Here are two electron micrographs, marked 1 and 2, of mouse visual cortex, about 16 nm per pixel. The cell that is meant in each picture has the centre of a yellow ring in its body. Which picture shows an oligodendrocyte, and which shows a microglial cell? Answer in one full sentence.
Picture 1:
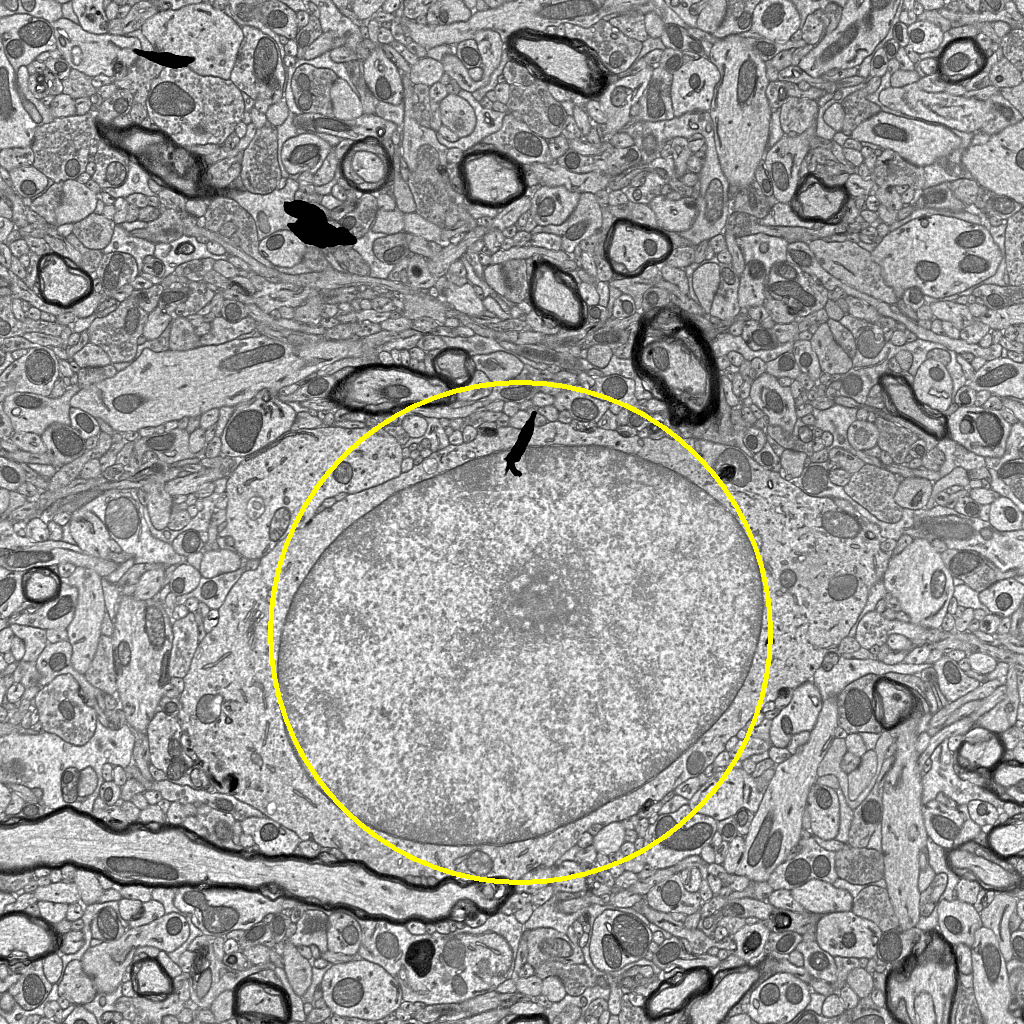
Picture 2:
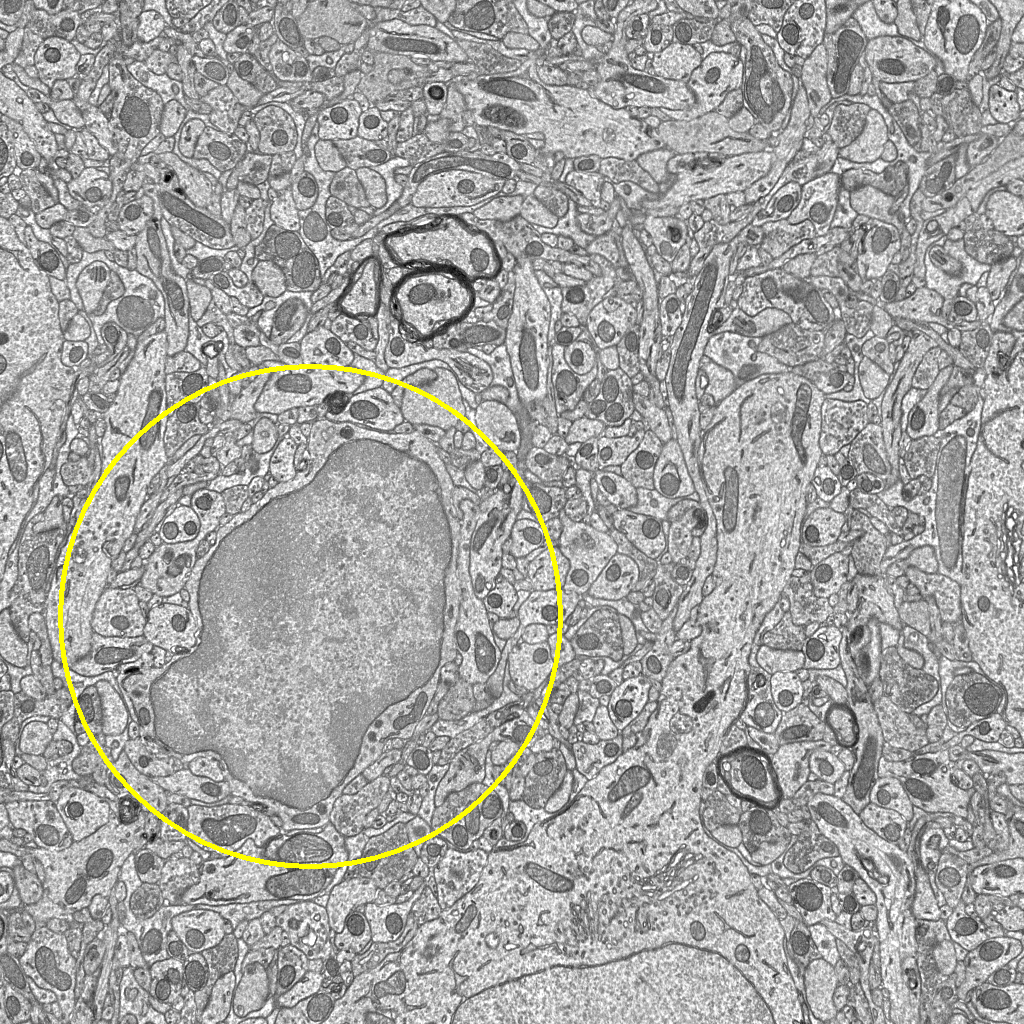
In picture 1 the cell is an oligodendrocyte; in picture 2, a microglial cell.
